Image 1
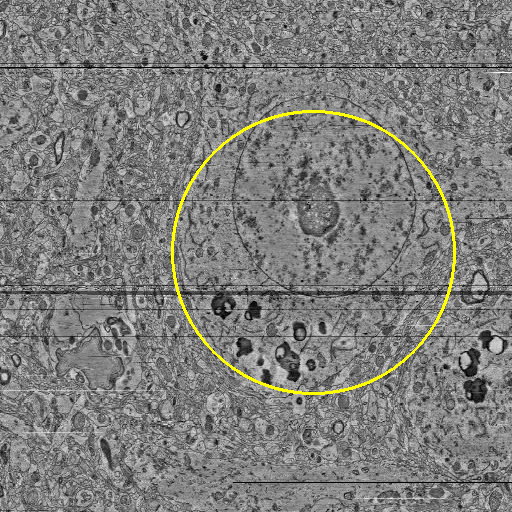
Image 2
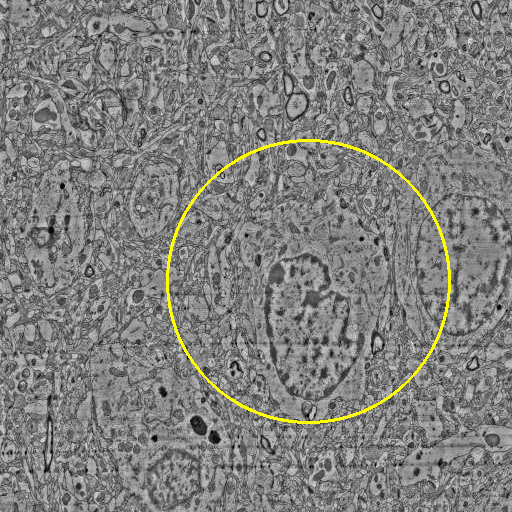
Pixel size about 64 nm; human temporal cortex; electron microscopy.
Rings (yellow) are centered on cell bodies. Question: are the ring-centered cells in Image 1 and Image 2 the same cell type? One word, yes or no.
no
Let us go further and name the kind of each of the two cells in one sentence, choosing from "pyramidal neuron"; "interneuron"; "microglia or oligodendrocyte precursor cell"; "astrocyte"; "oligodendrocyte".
The ring of the first picture is on a pyramidal neuron, the ring of the second on a microglial cell or oligodendrocyte precursor cell.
